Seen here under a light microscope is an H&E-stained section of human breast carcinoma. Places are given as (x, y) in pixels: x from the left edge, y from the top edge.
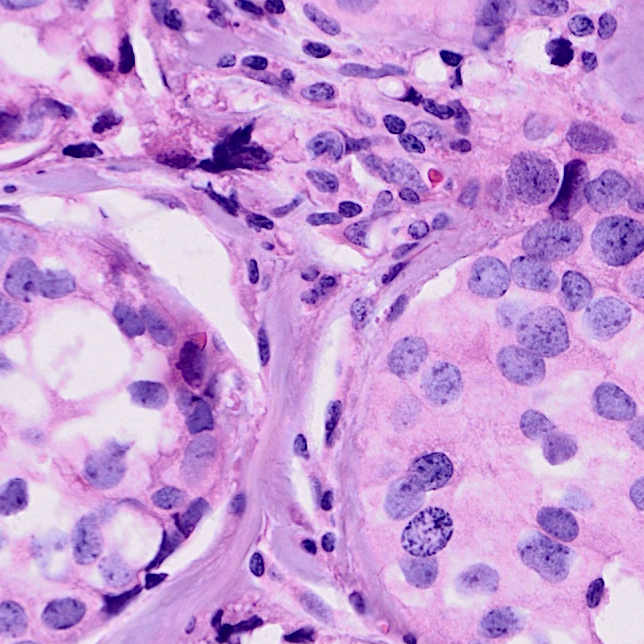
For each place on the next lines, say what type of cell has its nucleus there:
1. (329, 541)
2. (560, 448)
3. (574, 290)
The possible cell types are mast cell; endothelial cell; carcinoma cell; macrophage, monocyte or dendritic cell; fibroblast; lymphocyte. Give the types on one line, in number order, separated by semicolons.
lymphocyte; carcinoma cell; carcinoma cell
